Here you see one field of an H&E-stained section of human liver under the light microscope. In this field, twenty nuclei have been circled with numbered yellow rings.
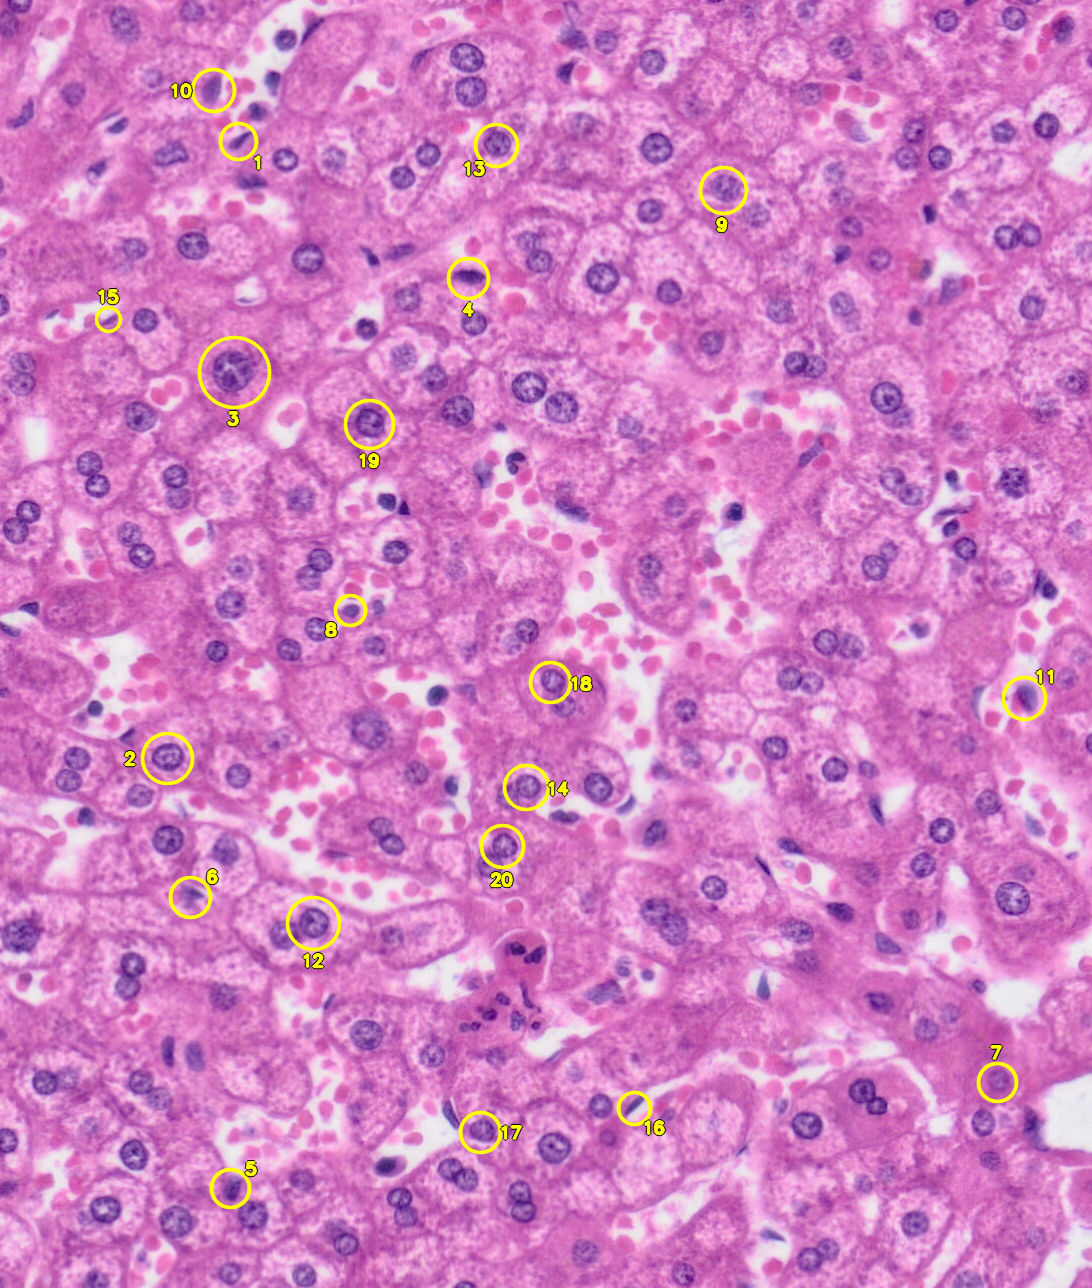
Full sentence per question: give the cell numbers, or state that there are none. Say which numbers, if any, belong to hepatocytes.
Cells 2, 3, 7, 9, 12, 13, 14, 17, 18, 19 and 20 are recognised here as hepatocytes.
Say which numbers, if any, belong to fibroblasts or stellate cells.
Cells 4 and 5 are classified as fibroblasts or stellate cells.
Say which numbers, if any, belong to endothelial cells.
The cells referred to by the numbers 1, 6, 10, 11, 15 and 16 are endothelial cells.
